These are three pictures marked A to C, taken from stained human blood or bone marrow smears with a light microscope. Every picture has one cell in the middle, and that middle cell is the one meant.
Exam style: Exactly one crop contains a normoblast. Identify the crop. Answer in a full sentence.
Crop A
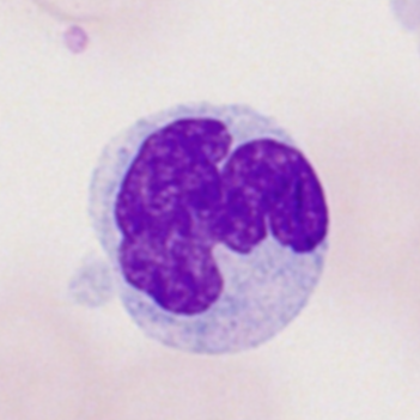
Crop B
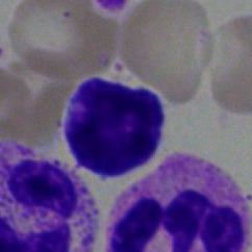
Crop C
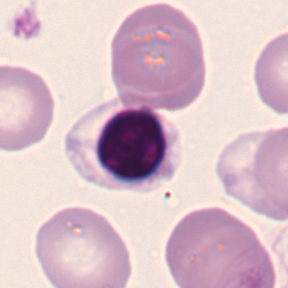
Of the labelled crops, the one that shows a normoblast is crop C.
